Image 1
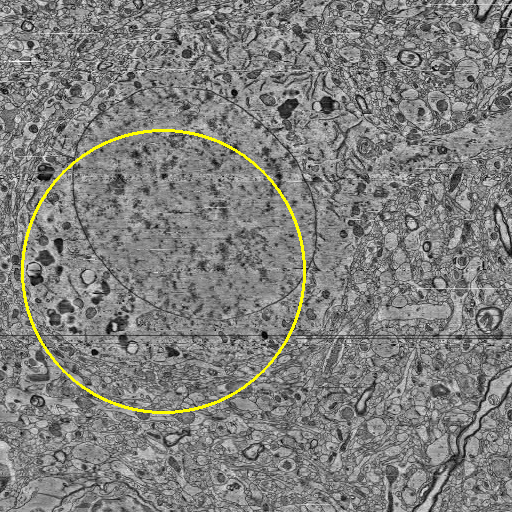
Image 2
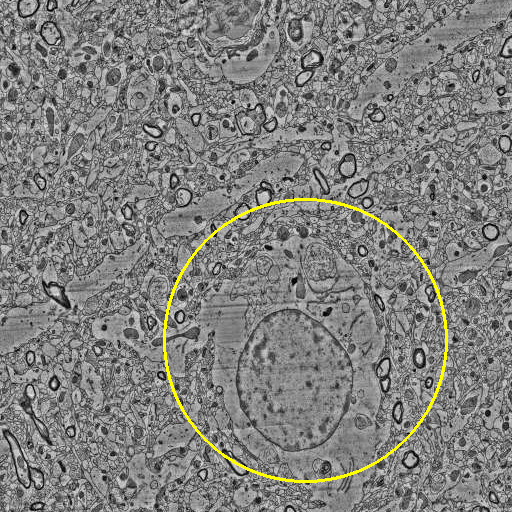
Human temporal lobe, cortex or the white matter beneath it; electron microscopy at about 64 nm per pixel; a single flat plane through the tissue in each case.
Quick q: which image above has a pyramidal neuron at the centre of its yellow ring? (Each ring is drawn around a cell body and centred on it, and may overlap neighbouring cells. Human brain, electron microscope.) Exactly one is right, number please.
1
